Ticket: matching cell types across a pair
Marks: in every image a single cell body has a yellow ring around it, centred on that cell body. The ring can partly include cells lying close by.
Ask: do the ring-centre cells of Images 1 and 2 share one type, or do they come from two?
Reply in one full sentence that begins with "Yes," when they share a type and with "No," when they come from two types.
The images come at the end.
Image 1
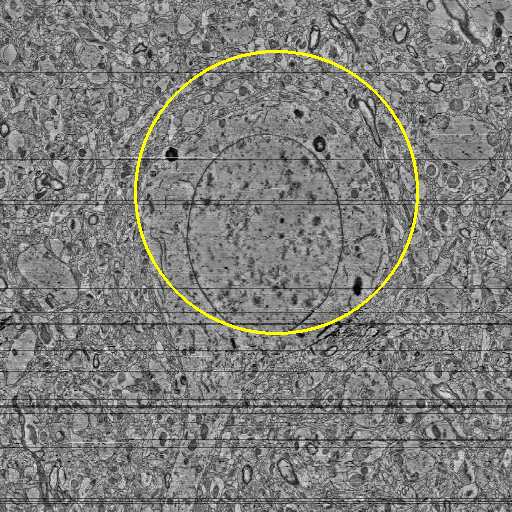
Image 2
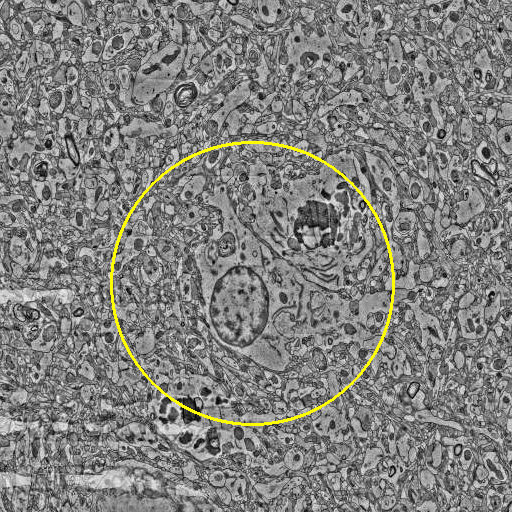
No, the cells in the centres of the rings in Image 1 and Image 2 come from two types.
